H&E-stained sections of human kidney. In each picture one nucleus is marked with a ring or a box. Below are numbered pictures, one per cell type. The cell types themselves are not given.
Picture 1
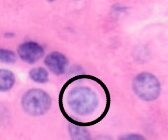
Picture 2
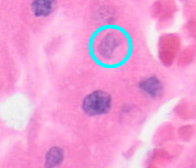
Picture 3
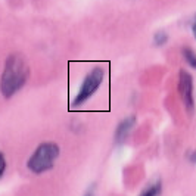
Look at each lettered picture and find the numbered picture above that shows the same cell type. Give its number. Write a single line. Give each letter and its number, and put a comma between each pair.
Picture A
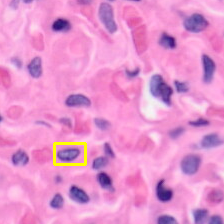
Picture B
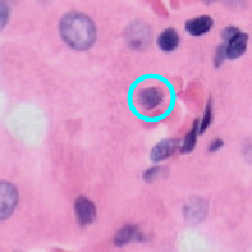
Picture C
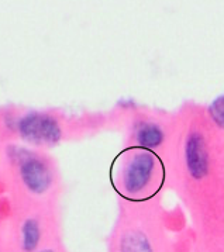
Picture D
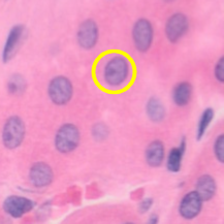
A 3, B 3, C 1, D 2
